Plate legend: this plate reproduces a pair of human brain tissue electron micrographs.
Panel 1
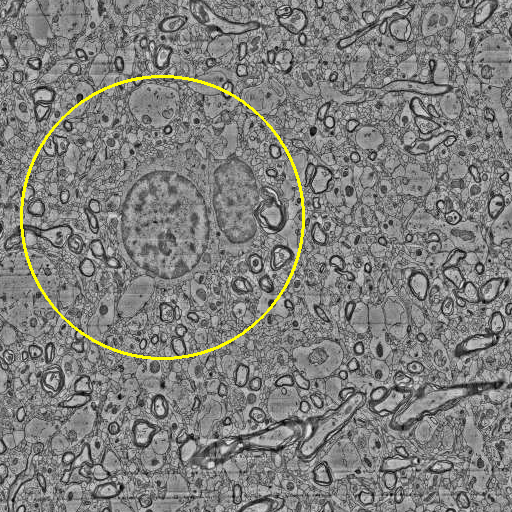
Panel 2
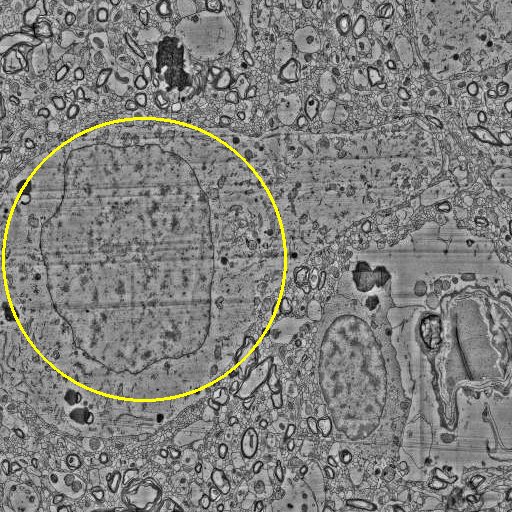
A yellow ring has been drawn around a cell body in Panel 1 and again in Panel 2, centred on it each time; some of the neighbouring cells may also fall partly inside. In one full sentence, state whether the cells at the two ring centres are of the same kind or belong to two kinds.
The ring-centred cells of Panel 1 and Panel 2 belong to two kinds.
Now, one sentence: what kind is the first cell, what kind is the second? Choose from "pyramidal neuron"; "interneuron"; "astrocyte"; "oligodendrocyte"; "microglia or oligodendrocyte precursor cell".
The first picture has an oligodendrocyte at its ring centre, and the second has a pyramidal neuron.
